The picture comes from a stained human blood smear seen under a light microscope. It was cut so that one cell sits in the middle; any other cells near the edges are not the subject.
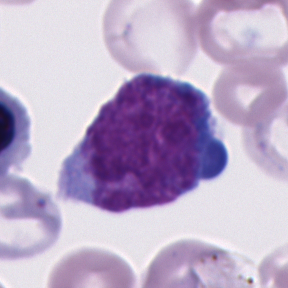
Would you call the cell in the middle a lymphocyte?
no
